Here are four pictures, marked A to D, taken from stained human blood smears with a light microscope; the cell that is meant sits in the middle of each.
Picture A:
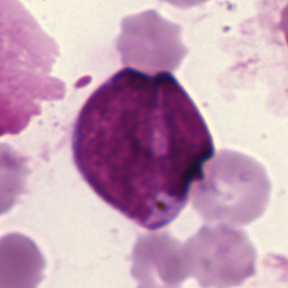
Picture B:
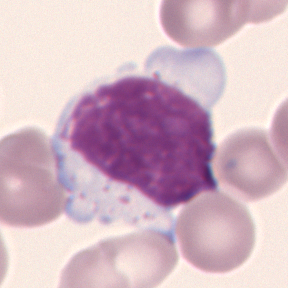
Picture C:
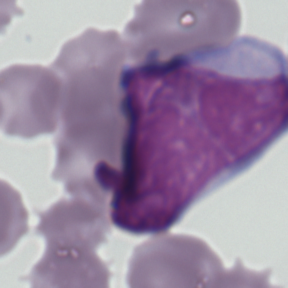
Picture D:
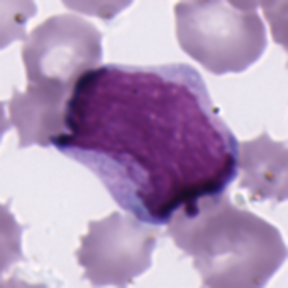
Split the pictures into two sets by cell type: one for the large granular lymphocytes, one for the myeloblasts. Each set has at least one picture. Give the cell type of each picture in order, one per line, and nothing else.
myeloblast
large granular lymphocyte
myeloblast
myeloblast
